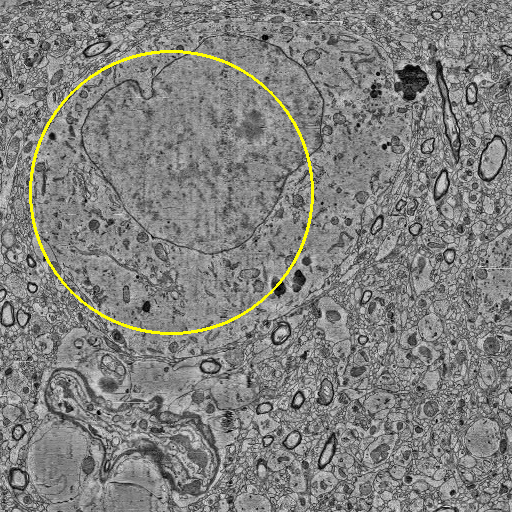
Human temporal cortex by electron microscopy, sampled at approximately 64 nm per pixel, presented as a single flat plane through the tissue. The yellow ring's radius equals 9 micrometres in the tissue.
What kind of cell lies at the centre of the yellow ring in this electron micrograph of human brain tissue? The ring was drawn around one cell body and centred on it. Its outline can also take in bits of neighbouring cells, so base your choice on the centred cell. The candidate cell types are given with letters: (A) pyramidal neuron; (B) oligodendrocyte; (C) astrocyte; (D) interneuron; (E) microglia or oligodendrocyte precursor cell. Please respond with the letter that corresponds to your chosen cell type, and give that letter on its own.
A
